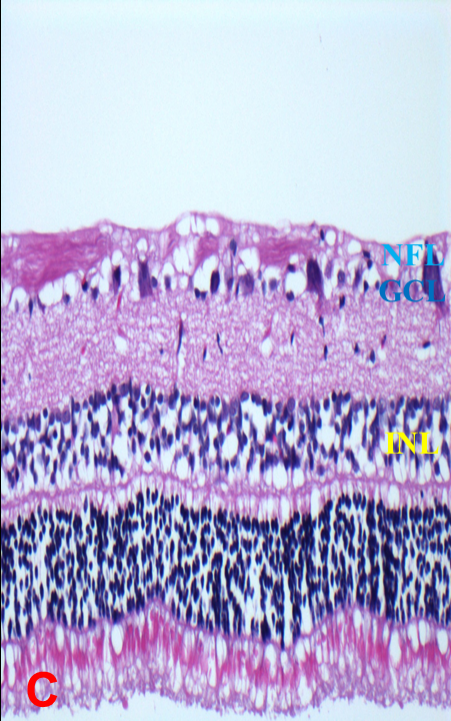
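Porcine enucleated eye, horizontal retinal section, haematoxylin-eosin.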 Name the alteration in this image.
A: Cytoplasmic vacuolation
